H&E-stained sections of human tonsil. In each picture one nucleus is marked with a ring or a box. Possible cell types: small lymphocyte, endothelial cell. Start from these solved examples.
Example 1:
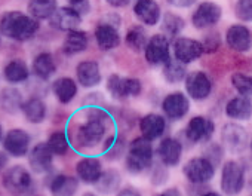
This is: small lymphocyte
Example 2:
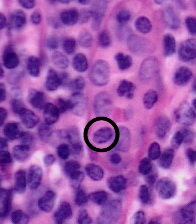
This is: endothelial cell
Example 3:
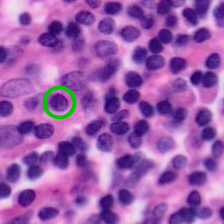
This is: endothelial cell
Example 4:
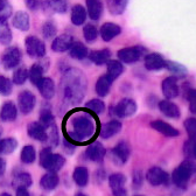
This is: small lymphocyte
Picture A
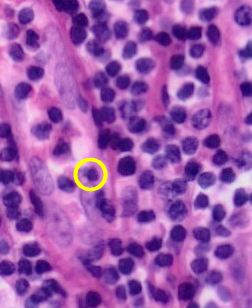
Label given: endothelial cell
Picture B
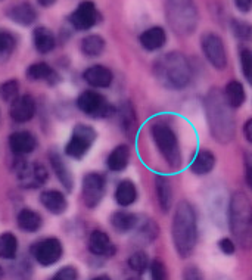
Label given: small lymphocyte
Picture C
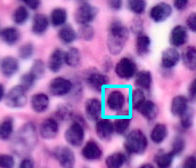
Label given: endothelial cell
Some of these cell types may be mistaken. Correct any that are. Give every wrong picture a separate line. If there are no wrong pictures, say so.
B: change small lymphocyte to endothelial cell
C: change endothelial cell to small lymphocyte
